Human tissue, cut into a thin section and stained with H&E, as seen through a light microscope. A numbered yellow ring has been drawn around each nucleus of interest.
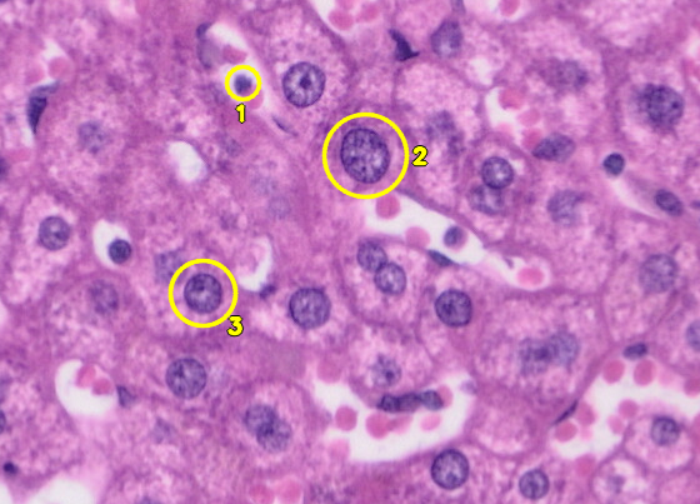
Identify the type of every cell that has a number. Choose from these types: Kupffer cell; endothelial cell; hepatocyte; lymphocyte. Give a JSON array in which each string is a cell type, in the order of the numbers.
["lymphocyte", "hepatocyte", "hepatocyte"]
